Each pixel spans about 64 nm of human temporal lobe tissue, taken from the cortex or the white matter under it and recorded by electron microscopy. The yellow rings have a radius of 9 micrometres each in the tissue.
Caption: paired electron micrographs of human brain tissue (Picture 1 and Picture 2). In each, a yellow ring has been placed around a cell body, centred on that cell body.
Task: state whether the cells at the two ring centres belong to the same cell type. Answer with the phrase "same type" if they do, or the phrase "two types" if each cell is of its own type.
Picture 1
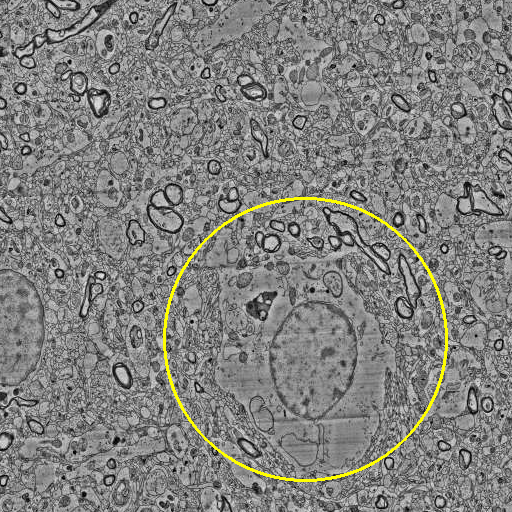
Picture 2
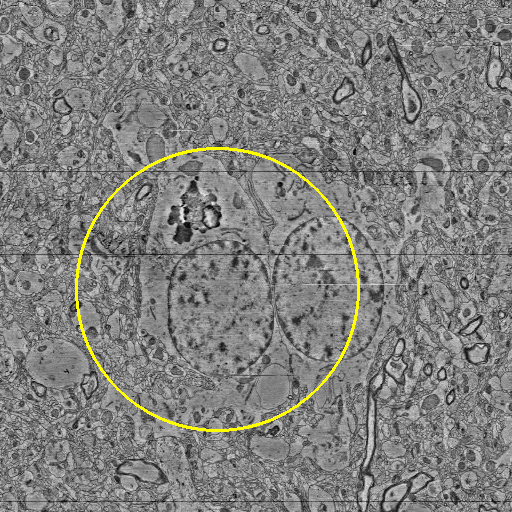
same type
